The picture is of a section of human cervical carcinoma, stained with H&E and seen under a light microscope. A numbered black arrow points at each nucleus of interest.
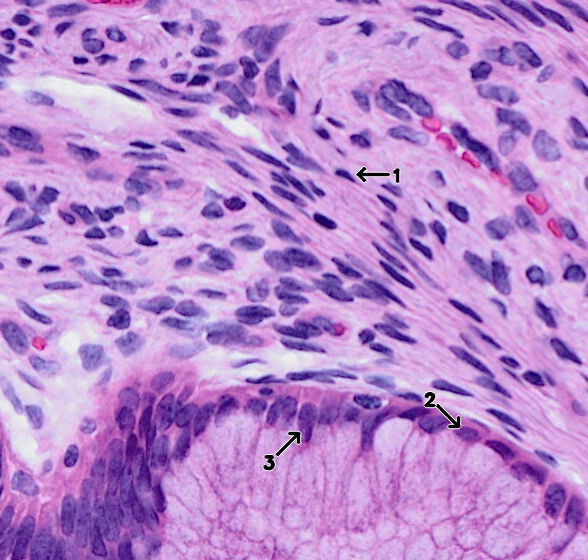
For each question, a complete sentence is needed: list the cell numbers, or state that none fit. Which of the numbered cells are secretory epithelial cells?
In short, the numbered cells 2 and 3 are secretory epithelial cells.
